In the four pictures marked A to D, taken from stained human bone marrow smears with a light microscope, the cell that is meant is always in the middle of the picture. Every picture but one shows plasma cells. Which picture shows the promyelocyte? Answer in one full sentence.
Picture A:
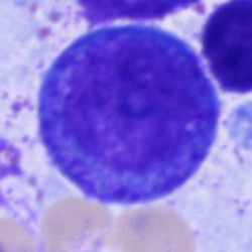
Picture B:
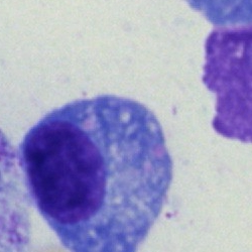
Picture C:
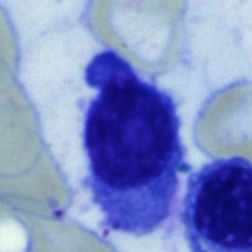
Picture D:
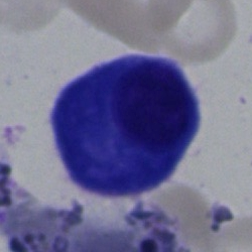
Picture A is the one that shows the promyelocyte.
